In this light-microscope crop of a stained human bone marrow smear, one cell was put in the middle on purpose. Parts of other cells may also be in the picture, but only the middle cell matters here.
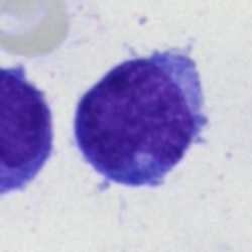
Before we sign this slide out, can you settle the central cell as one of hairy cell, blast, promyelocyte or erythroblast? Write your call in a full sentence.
The cell at the heart of this crop is a blast.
